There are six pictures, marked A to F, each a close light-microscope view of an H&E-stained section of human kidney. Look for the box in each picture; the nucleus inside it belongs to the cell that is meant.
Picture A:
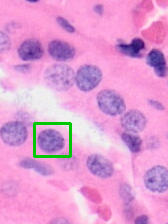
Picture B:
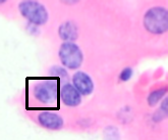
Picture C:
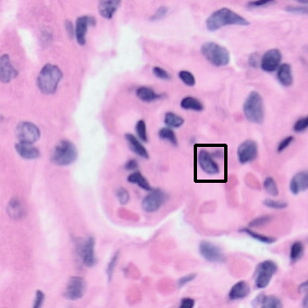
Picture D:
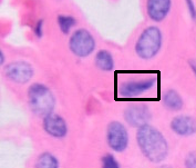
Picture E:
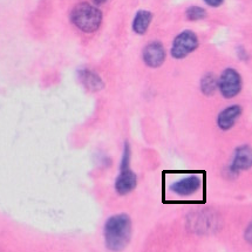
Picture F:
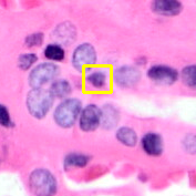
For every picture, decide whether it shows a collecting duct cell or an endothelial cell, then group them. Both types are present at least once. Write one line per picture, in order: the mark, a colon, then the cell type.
A: collecting duct cell
B: collecting duct cell
C: endothelial cell
D: endothelial cell
E: endothelial cell
F: collecting duct cell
